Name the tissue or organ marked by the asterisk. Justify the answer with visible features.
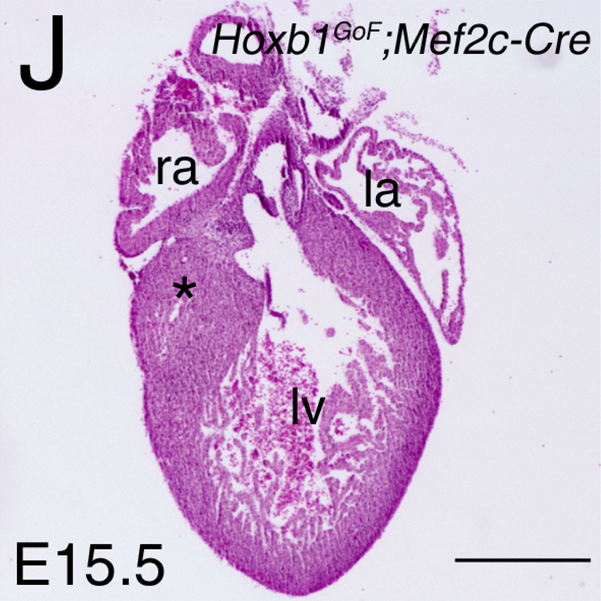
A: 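Right ventricle. The asterisk lies in a small chamber on the right side of the heart below the right atrium. A much larger ventricle with trabeculated wall forms the apex beside it.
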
